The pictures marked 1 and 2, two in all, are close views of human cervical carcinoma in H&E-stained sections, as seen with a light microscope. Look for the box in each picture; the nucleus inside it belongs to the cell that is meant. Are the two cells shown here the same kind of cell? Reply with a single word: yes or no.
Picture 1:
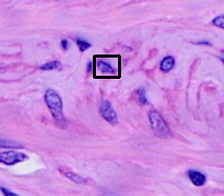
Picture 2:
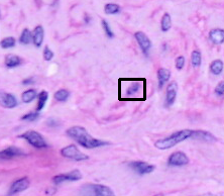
yes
